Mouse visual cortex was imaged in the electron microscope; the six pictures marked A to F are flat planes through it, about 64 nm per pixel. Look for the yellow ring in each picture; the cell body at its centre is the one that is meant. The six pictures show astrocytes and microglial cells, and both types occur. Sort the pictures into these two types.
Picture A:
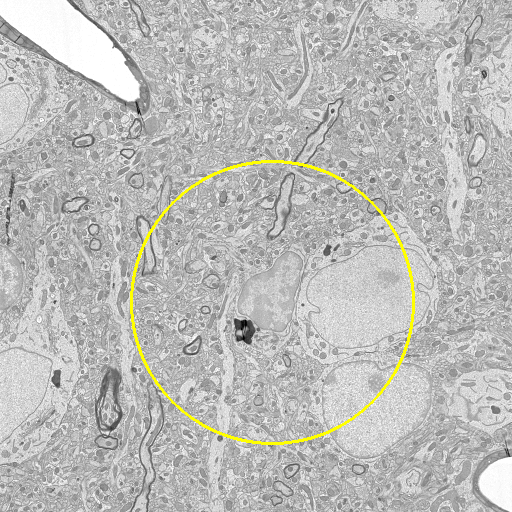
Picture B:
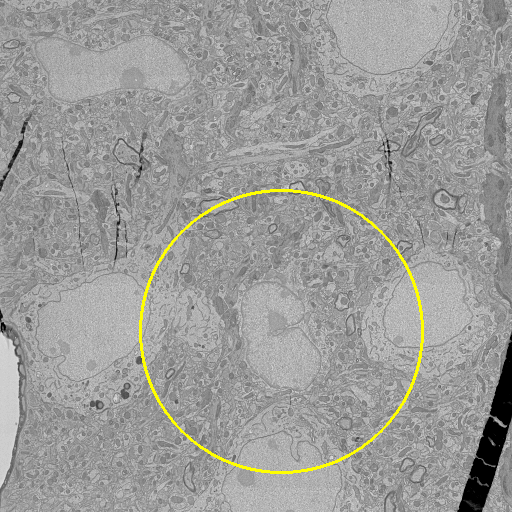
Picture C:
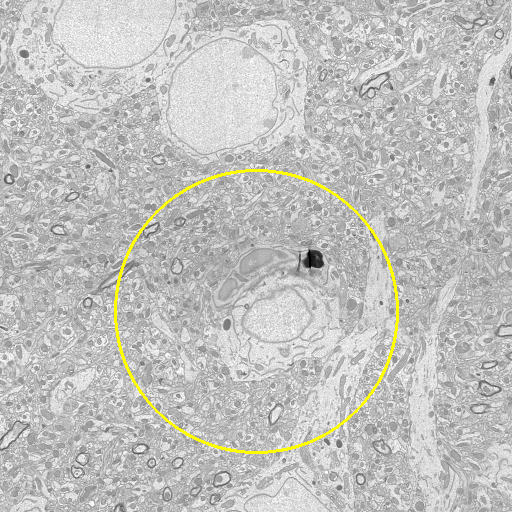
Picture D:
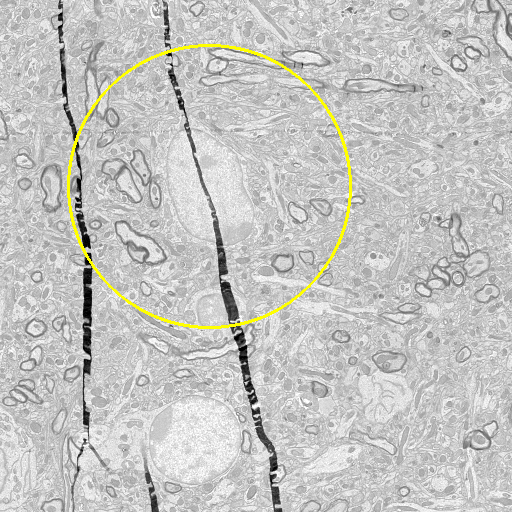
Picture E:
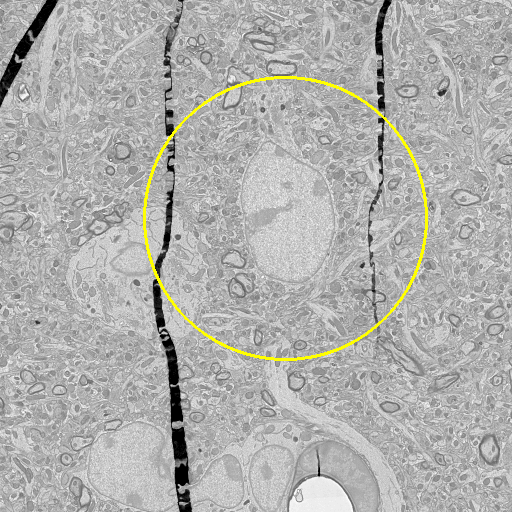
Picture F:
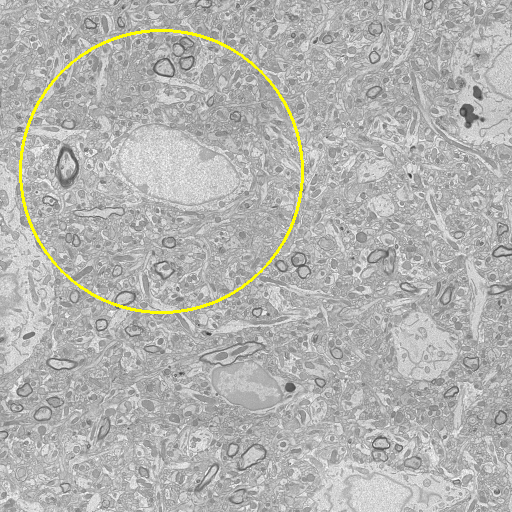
Pictures B, D, E and F show astrocytes, while pictures A and C show microglial cells.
